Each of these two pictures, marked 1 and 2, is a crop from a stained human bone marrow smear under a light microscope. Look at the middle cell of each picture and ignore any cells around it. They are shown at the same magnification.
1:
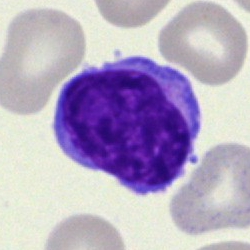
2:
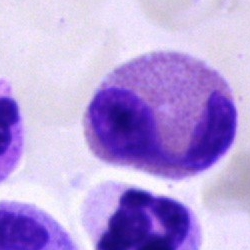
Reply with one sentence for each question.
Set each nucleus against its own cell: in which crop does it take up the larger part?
Of the two, the nucleus in crop 1 makes up the greater part of its cell.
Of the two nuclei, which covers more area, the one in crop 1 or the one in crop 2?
The nucleus in crop 1 is larger, with about 1.5 times the area of the one in crop 2.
